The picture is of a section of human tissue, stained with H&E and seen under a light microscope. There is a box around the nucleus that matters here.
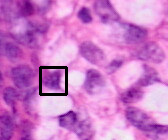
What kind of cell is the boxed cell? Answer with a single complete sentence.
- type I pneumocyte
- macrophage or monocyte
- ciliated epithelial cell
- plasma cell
In the context of this tissue, the boxed cell is a ciliated epithelial cell.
